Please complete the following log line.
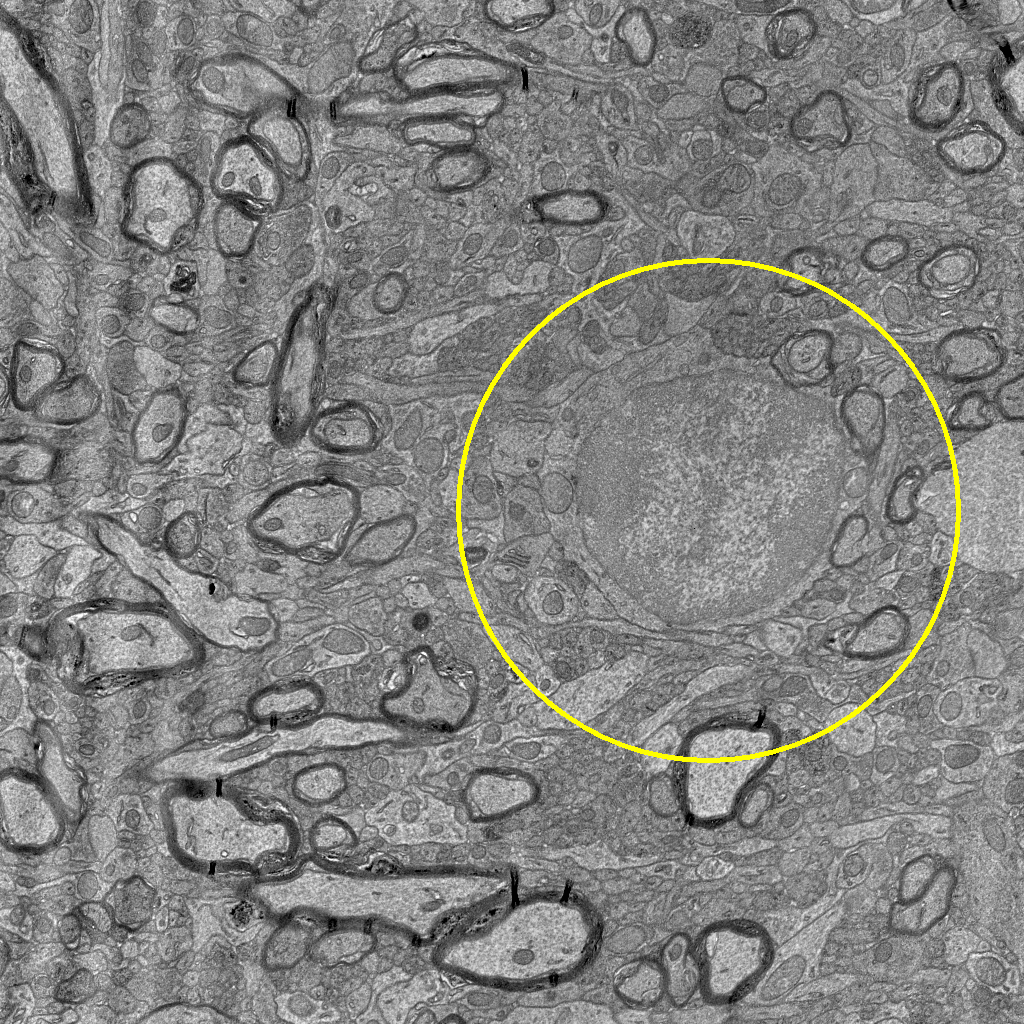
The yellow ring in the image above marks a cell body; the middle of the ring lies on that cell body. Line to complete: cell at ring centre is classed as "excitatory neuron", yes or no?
no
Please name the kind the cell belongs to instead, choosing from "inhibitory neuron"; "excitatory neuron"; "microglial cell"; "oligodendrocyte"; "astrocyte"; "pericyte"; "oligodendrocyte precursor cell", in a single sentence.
Instead, the cell inside the ring is an oligodendrocyte.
